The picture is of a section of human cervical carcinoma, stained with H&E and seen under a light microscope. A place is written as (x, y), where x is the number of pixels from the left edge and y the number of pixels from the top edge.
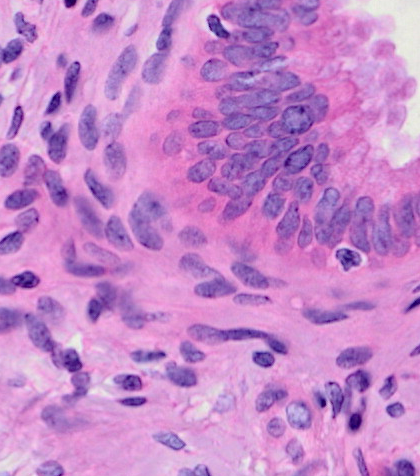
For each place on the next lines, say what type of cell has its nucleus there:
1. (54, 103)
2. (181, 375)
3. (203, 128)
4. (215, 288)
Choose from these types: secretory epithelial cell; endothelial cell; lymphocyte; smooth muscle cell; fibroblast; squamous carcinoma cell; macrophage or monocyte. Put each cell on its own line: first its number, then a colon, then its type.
1: fibroblast
2: fibroblast
3: secretory epithelial cell
4: fibroblast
